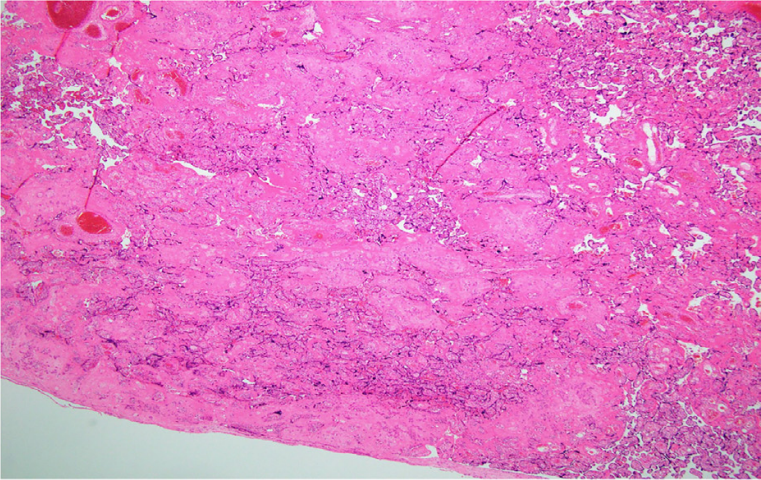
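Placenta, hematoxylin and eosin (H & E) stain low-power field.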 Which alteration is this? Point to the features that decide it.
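Diffuse fibrin deposition. Broad pale pink homogeneous material fills much of the field. Small villous profiles are scattered within the pink material rather than lying in open spaces.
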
